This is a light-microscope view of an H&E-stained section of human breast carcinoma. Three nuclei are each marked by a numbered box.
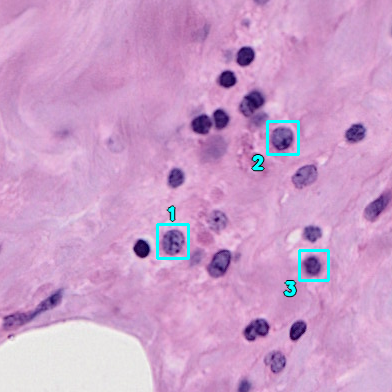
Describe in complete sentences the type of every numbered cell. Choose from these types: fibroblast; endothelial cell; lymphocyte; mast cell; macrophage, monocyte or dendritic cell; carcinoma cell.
Cell 1 is a mast cell, cell 2 is a mast cell and cell 3 is a lymphocyte.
